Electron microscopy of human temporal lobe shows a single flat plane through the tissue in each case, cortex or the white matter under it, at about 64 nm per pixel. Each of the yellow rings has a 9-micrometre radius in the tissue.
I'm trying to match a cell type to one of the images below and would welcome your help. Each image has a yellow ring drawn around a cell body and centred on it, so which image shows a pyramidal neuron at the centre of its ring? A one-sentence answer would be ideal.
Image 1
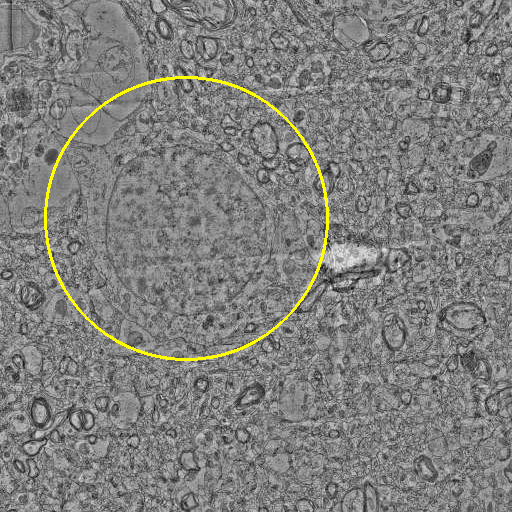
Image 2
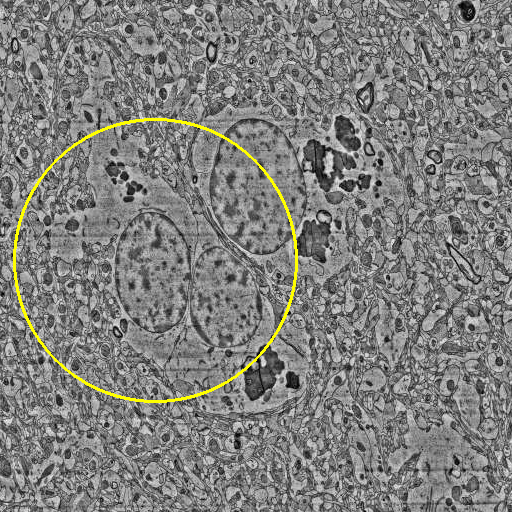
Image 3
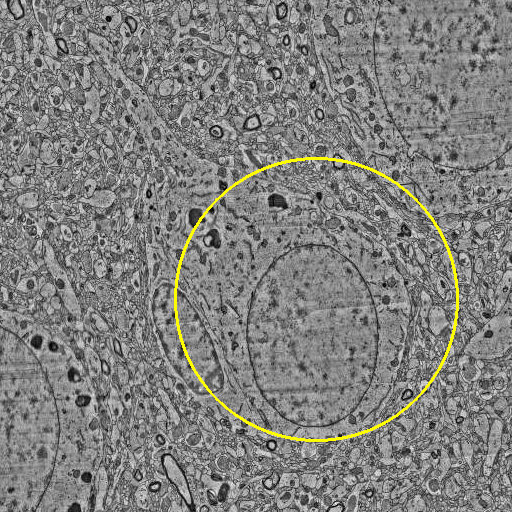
Image 3 shows it at the centre of the ring.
